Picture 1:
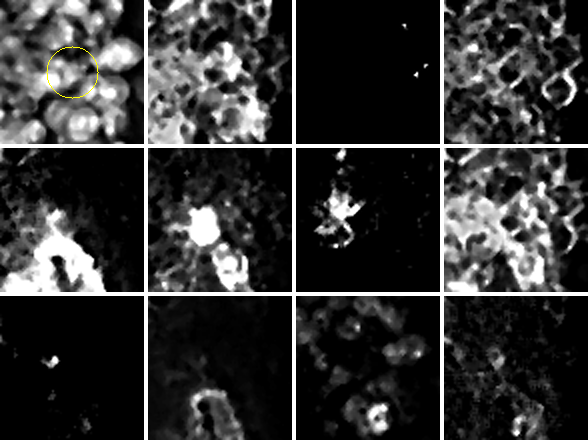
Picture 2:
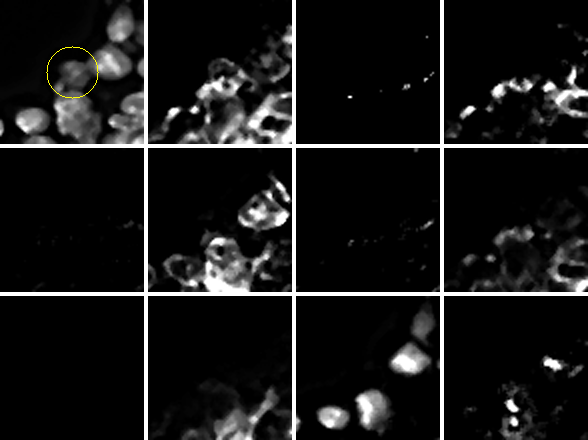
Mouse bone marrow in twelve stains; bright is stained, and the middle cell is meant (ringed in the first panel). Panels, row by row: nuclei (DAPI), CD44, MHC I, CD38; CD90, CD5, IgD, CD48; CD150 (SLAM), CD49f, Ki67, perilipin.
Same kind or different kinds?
Different: the first is a B cell, the second a neutrophil.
